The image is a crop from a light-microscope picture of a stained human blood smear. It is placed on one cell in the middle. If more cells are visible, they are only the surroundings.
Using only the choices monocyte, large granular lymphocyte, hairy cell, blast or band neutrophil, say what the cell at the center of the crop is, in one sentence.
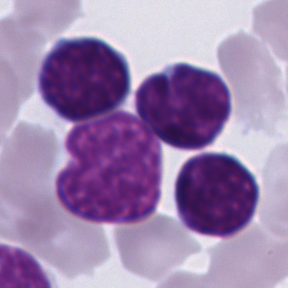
Answering briefly, the cell in the middle is a blast.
